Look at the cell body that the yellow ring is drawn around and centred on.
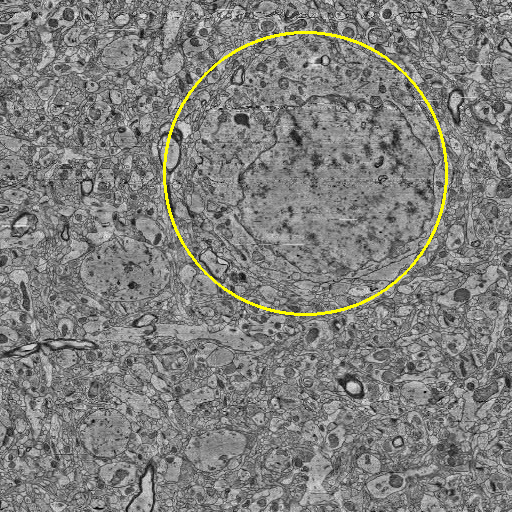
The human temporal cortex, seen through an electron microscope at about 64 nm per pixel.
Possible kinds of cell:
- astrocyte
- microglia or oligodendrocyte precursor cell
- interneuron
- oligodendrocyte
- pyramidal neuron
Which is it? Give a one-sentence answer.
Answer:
The centred cell body is that of an interneuron.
